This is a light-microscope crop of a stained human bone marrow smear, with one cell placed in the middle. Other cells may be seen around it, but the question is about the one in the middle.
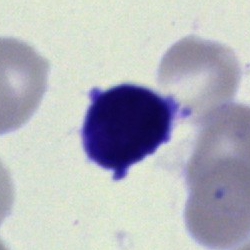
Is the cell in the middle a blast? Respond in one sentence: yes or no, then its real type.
No, the cell located centrally is a lymphocyte rather than a blast.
